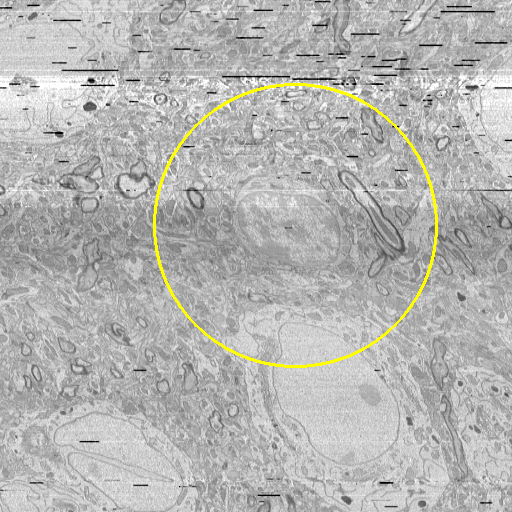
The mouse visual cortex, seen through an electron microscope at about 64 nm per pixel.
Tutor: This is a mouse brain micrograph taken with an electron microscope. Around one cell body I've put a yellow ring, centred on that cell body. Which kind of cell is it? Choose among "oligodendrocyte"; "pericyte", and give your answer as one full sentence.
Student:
Going by your list, the cell centred in the yellow ring is an oligodendrocyte.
